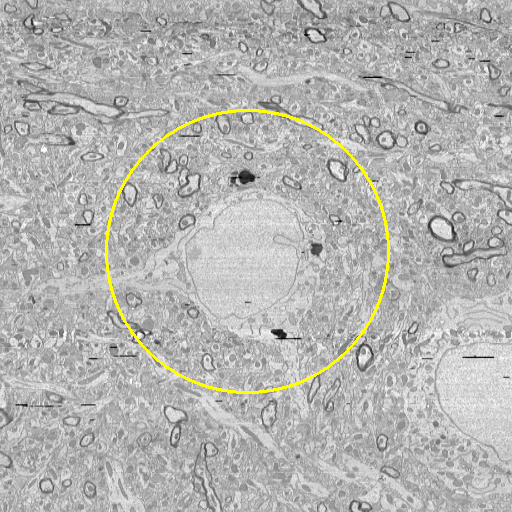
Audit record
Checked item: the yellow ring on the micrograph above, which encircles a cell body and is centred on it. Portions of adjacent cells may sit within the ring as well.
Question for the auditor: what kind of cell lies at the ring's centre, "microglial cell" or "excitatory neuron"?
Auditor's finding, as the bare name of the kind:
excitatory neuron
